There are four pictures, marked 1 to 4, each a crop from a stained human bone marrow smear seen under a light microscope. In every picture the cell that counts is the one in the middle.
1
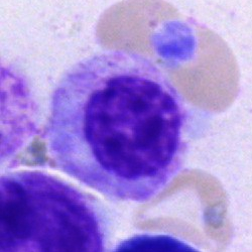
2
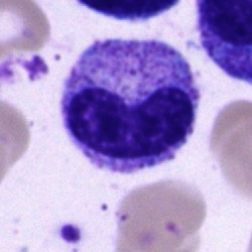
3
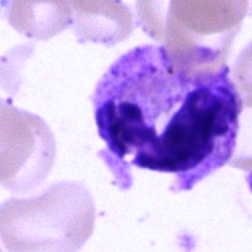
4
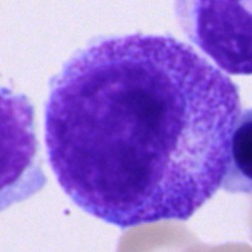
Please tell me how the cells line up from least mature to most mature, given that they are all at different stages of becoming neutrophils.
4, 1, 2, 3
